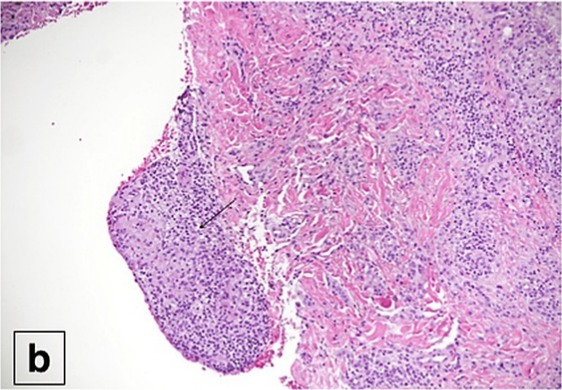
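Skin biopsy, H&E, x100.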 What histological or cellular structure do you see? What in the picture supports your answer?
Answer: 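Non-necrotizing granuloma. Nodular collections of pale, pink-cytoplasmed cells lie among dermal collagen. Small dark lymphocytes surround these collections. No central necrotic debris is seen within the nodules.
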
